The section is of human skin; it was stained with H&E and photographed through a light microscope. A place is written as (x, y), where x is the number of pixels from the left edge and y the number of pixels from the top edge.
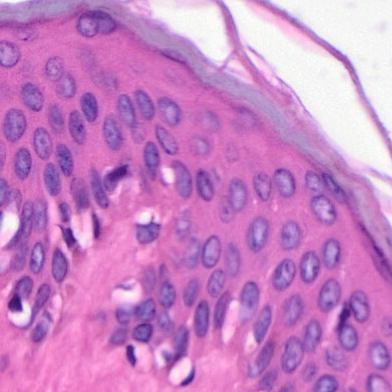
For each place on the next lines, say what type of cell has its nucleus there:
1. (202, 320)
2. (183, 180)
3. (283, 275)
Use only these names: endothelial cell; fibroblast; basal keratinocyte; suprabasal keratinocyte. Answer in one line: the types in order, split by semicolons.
basal keratinocyte; basal keratinocyte; suprabasal keratinocyte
